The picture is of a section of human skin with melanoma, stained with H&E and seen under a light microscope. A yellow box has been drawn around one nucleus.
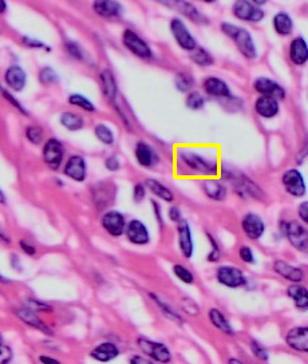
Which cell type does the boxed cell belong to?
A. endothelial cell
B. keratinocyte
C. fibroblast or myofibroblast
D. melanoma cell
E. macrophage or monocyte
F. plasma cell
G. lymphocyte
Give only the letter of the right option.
A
